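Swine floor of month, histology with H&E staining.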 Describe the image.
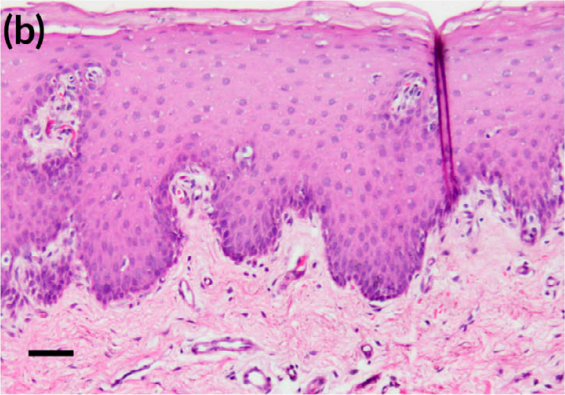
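This is a section of a stratified squamous epithelium with its underlying connective tissue. The epithelium is thick, with a row of small, densely packed, dark purple basal cells along its lower border and larger pale pink cells with round nuclei above. The lower border of the epithelium forms deep rete ridges that interdigitate with papillae of loose pink connective tissue containing small blood vessels. A dark vertical fold crosses the epithelium on the right, an artefact of sectioning.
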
